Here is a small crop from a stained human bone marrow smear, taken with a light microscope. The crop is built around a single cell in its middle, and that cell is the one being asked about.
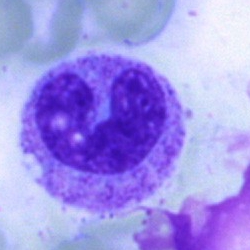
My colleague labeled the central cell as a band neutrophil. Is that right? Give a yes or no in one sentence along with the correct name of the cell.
Yes, the one cell at the centre is a band neutrophil.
